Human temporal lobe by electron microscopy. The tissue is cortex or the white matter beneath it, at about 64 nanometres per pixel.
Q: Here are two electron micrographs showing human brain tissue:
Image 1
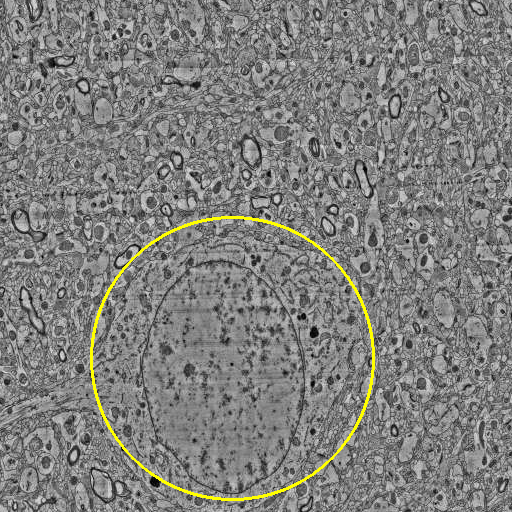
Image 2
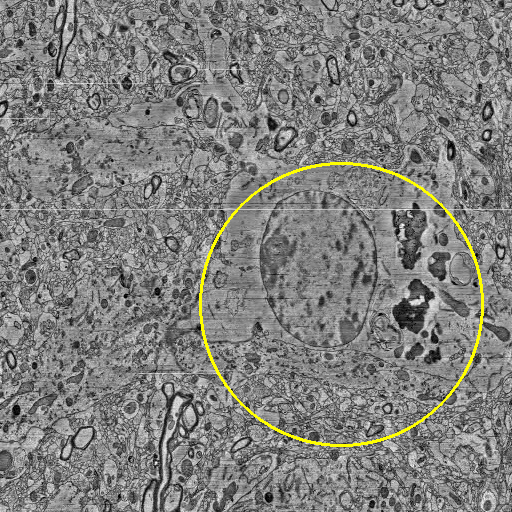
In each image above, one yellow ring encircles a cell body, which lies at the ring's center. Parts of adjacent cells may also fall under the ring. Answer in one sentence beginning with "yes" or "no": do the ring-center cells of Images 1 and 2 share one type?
No, in Images 1 and 2, the ring-center cells are of two types.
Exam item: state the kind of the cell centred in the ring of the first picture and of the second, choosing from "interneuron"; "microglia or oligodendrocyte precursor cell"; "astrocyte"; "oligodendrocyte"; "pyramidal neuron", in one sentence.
The first picture shows a pyramidal neuron at the ring centre and the second shows an astrocyte.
